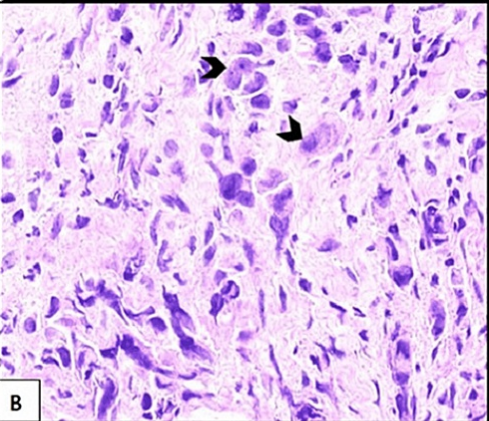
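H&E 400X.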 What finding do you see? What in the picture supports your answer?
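Nuclei are large relative to the cytoplasm. Nuclei vary widely in size and shape, from round to elongated and irregular. Nuclei are deeply purple. The answer: nuclear enlargement and pleomorphism.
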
